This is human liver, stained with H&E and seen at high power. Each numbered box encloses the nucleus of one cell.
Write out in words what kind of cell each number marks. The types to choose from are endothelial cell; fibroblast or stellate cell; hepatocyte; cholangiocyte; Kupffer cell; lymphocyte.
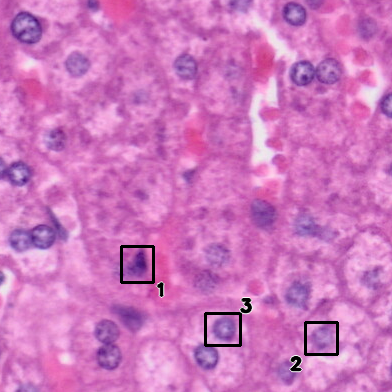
Cell 1 is a fibroblast or stellate cell, cell 2 is a hepatocyte and cell 3 is a hepatocyte.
